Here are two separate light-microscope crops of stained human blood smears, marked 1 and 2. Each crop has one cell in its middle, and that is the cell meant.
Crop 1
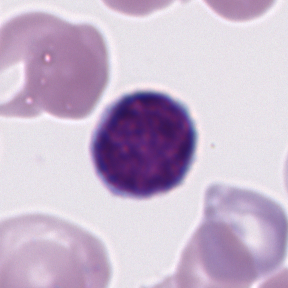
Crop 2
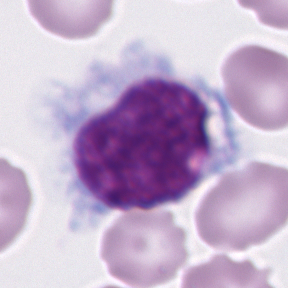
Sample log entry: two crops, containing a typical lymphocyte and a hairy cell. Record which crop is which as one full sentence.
Found in crop 1 is a typical lymphocyte; found in crop 2 is a hairy cell.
